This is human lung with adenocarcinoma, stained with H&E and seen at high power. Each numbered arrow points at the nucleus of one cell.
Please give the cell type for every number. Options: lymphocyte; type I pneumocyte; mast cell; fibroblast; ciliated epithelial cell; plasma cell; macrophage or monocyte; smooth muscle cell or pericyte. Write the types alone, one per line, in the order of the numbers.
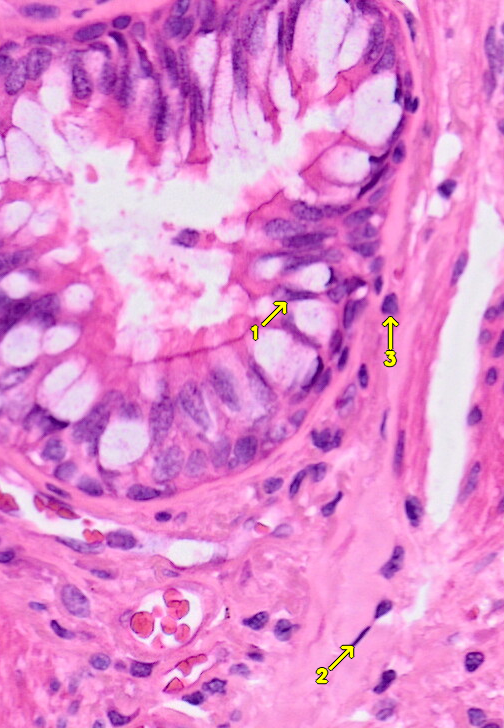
ciliated epithelial cell
fibroblast
mast cell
